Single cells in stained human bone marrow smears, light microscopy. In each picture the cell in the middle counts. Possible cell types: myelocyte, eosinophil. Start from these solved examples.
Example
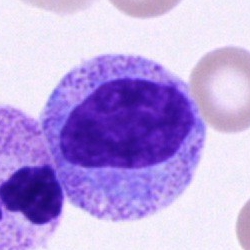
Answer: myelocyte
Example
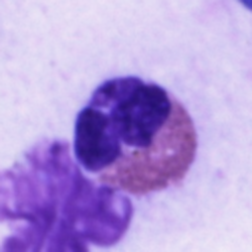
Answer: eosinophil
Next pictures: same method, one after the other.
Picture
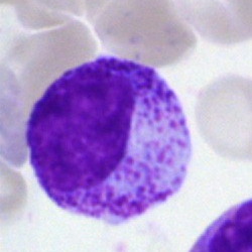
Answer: myelocyte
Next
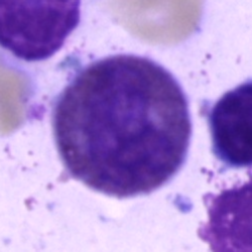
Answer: eosinophil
